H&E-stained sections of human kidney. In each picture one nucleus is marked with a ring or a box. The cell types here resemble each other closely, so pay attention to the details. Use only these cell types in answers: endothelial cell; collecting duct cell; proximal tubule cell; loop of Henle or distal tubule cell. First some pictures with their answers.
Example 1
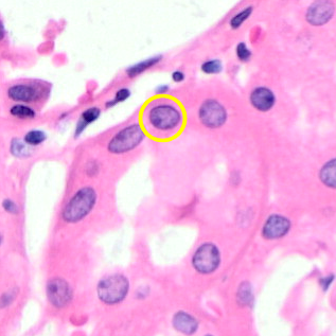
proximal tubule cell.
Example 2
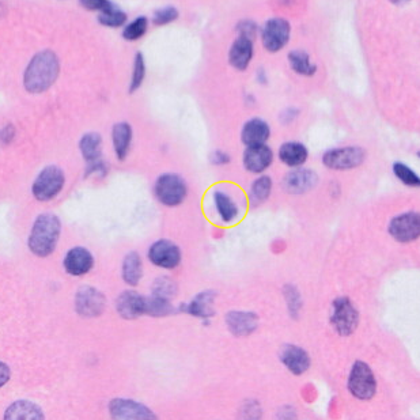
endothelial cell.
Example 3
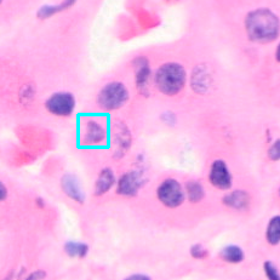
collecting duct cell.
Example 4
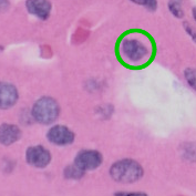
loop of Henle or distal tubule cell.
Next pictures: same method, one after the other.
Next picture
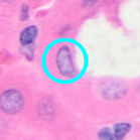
loop of Henle or distal tubule cell.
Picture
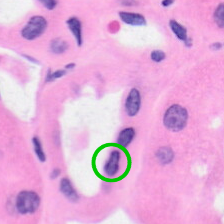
collecting duct cell.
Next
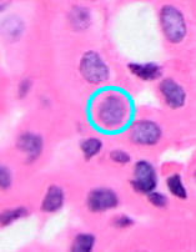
loop of Henle or distal tubule cell.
